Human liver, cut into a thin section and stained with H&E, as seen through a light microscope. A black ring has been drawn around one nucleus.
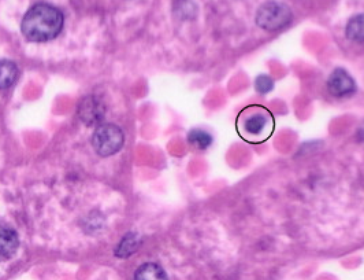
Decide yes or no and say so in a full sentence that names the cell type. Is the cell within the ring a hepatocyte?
No, not a hepatocyte: the cell within the ring is a lymphocyte.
